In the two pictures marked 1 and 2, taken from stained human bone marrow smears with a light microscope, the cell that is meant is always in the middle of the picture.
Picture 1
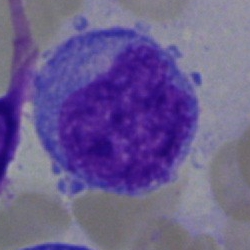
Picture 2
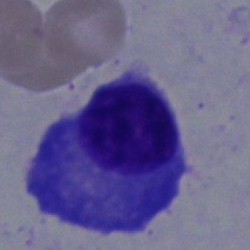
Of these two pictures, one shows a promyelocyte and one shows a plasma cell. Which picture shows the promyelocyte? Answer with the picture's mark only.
1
